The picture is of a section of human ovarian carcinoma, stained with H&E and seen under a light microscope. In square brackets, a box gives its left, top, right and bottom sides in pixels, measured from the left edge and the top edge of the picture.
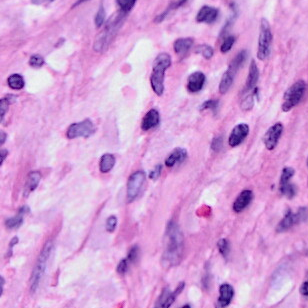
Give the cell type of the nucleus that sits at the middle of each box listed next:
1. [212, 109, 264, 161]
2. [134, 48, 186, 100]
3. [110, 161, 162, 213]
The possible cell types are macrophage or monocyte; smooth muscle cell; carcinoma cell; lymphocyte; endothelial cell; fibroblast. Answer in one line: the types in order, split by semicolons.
lymphocyte; macrophage or monocyte; fibroblast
